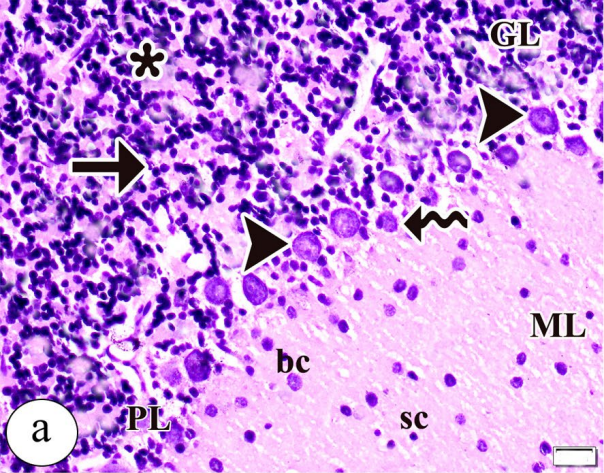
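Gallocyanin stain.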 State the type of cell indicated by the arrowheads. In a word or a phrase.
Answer: Purkinje cells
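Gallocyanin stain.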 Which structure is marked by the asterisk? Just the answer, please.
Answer: cerebellar islands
